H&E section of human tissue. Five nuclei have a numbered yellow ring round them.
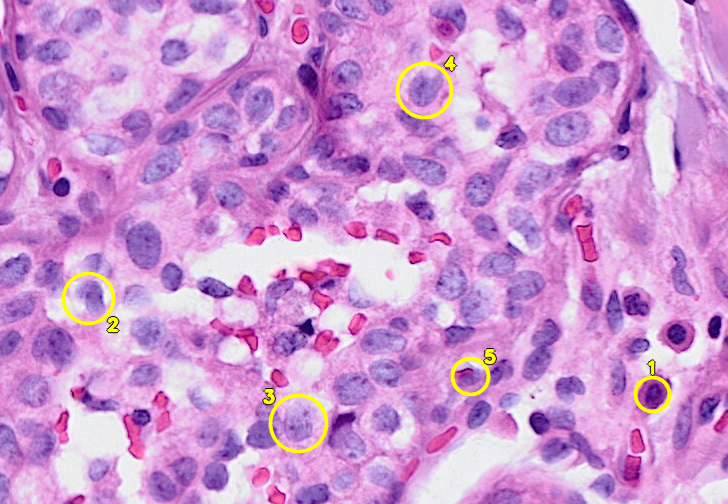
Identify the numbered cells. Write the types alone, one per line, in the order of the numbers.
mast cell
carcinoma cell
carcinoma cell
carcinoma cell
endothelial cell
